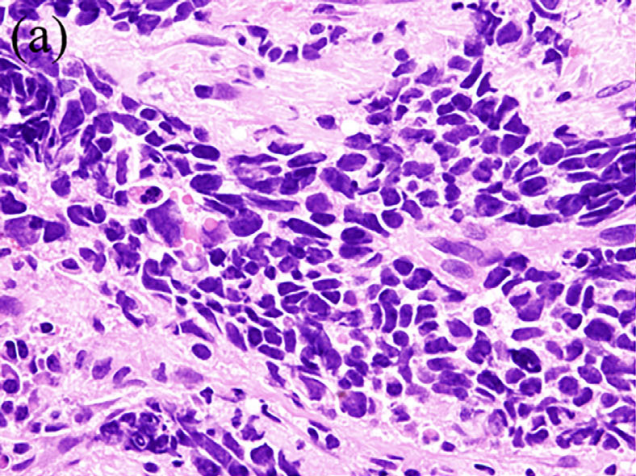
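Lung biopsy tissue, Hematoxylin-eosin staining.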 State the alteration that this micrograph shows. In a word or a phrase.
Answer: Tumor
